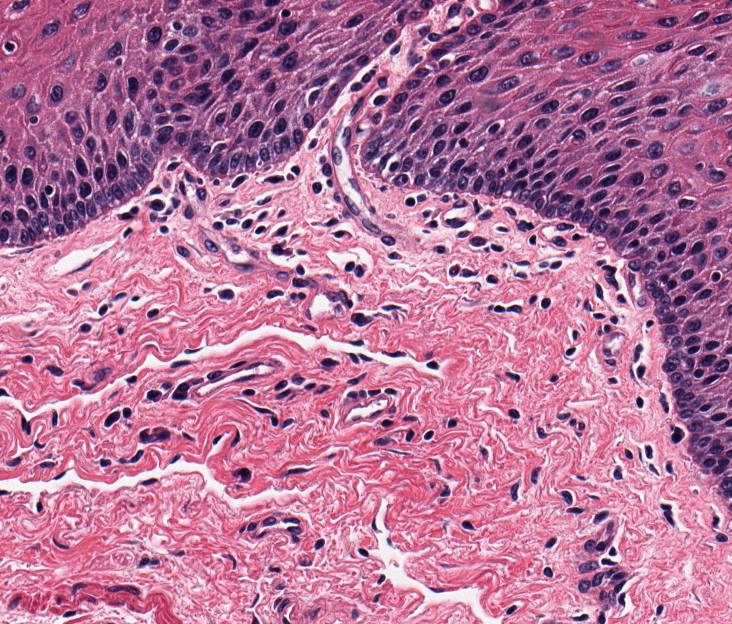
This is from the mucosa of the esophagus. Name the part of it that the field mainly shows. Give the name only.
loose connective tissue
